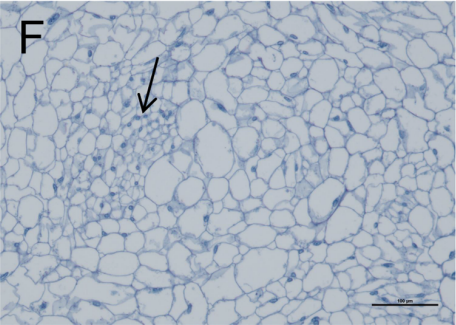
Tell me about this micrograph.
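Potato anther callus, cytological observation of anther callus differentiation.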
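Toward the upper left lies a compact cluster of much smaller cells with closely packed walls. Several cells in the field contain small dark blue nuclei. The small cells contrast sharply in size with the surrounding vacuolated cells.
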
